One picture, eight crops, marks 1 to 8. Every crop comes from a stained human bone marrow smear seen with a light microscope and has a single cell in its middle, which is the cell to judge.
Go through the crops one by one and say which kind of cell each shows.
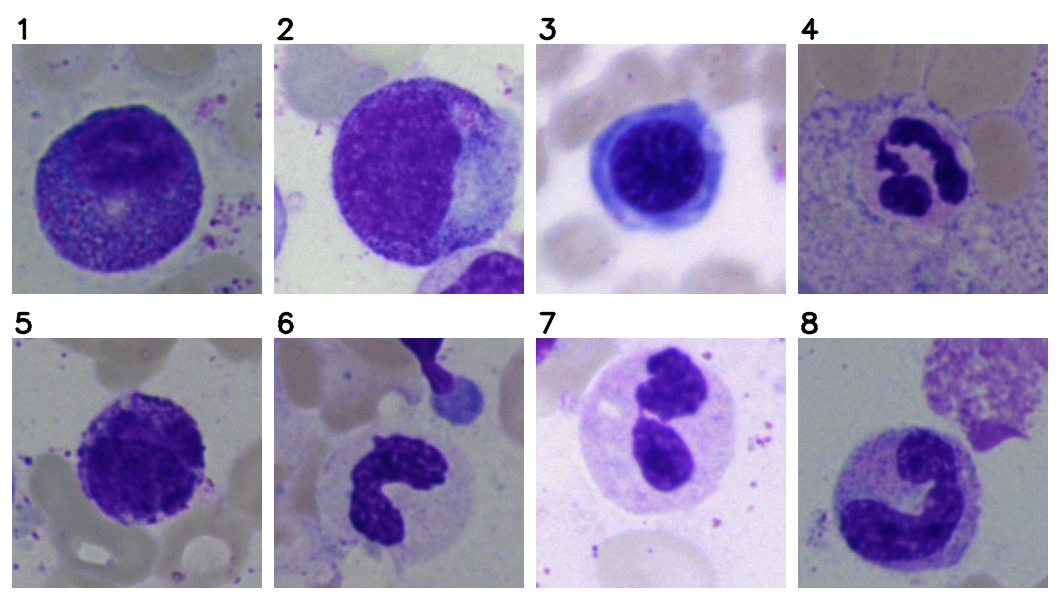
1: promyelocyte
2: promyelocyte
3: erythroblast
4: segmented neutrophil
5: basophil
6: segmented neutrophil
7: segmented neutrophil
8: band neutrophil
